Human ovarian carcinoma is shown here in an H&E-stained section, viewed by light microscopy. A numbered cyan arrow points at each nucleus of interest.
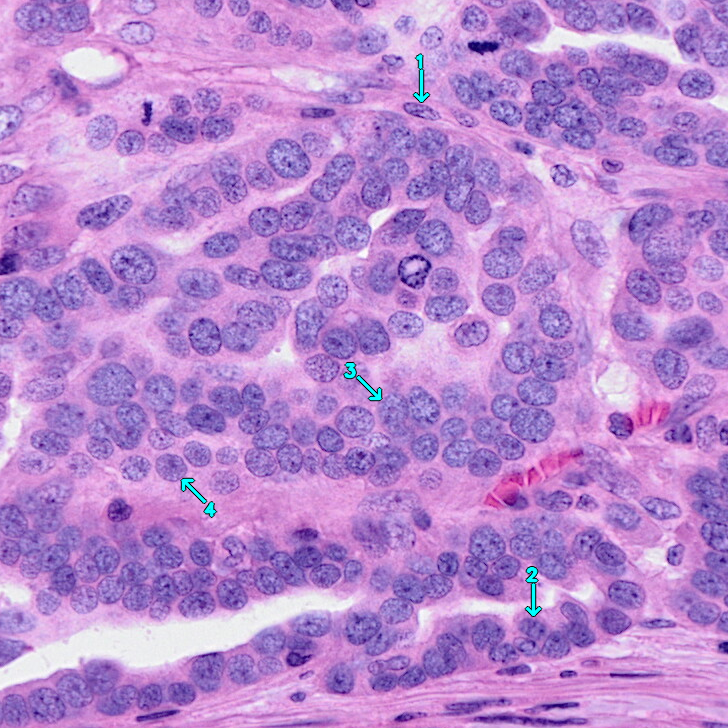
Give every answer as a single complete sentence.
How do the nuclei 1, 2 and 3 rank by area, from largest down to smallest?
By area, largest first, they run 3, 2, 1.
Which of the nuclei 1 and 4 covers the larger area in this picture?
Nucleus 4 is larger, with an area about 1.5 times that of nucleus 1.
